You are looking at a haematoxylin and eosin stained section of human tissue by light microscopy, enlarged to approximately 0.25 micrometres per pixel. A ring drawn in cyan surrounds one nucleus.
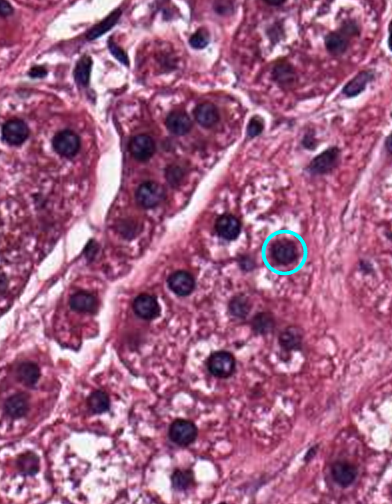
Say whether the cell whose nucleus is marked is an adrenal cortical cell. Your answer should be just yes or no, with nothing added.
yes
